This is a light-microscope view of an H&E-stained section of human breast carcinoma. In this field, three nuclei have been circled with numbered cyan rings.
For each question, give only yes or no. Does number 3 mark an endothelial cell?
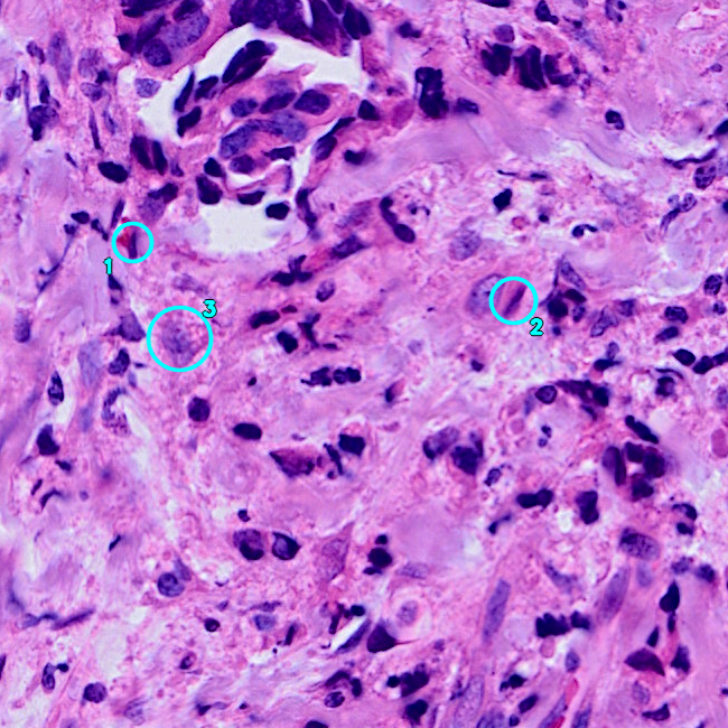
no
